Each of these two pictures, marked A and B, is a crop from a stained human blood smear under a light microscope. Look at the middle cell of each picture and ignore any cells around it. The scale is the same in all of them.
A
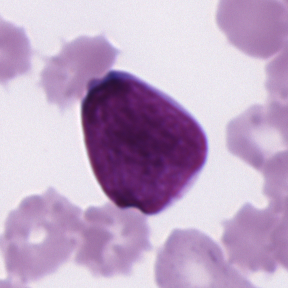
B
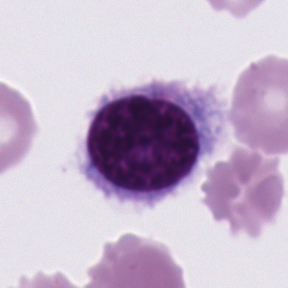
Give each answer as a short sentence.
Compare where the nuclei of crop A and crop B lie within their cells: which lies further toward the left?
It is the nucleus in crop B that lies further toward the left of its cell.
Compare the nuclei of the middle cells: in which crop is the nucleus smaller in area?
The nucleus in crop B is smaller; the one in crop A has about 1.5 times its area.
